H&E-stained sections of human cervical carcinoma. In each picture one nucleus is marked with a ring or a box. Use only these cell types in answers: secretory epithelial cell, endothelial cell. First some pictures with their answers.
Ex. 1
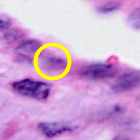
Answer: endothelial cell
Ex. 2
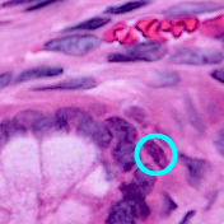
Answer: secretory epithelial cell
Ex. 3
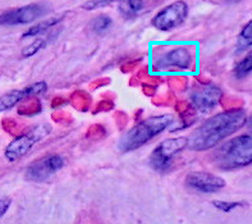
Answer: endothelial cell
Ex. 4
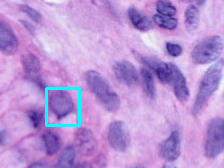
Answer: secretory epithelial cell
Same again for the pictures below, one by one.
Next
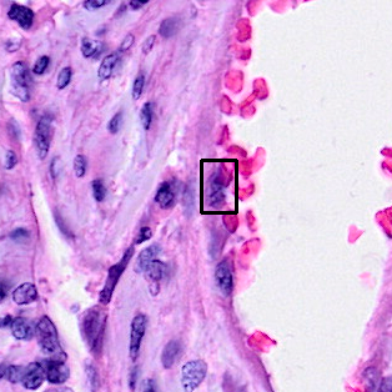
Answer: endothelial cell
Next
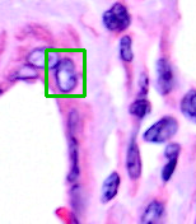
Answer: endothelial cell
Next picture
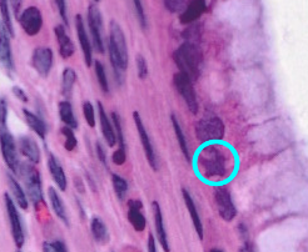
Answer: secretory epithelial cell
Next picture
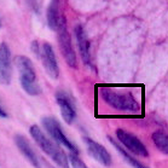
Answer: secretory epithelial cell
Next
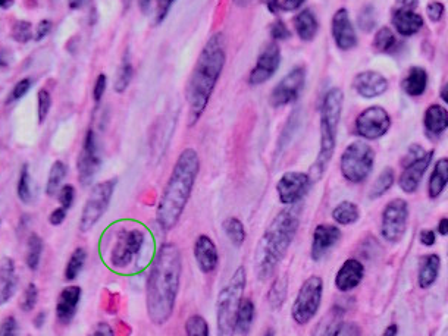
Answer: endothelial cell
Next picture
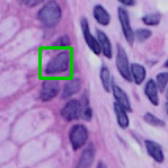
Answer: secretory epithelial cell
